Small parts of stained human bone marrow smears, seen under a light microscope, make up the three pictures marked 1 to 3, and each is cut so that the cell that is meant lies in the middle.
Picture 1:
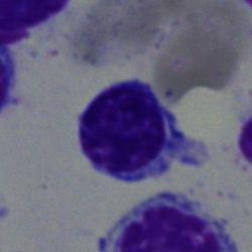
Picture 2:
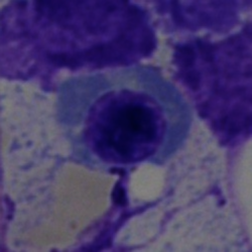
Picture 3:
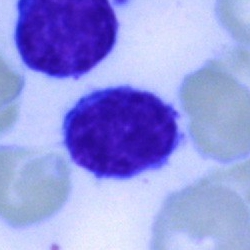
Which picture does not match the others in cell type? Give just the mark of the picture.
2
